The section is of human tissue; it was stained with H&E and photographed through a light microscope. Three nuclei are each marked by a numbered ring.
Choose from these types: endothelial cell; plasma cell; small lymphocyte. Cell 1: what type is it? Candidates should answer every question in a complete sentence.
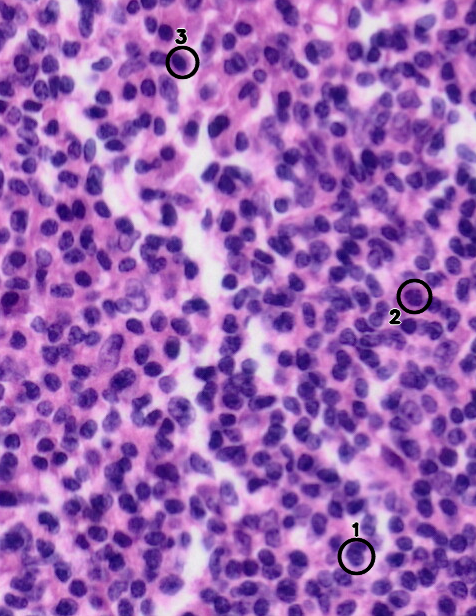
Cell number 1 in this section is a small lymphocyte.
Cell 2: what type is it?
Of the numbered cells, the one labelled 2 is a plasma cell.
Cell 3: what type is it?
Among the marked cells, number 3 is a plasma cell.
